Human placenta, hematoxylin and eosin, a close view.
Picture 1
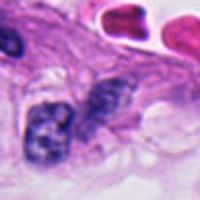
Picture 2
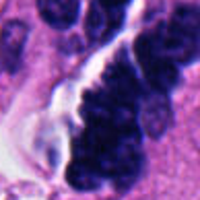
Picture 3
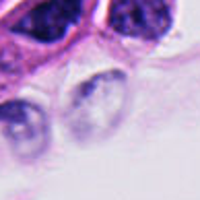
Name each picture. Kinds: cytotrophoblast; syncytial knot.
(1) cytotrophoblast
(2) syncytial knot
(3) cytotrophoblast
